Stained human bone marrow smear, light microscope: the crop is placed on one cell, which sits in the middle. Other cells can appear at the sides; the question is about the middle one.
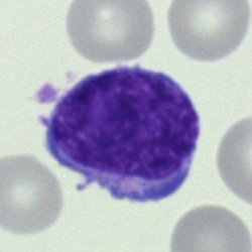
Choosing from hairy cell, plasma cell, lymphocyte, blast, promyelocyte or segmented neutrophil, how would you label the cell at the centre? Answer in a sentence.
The crop's centre is taken up by a blast.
